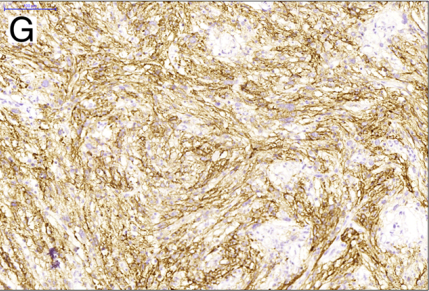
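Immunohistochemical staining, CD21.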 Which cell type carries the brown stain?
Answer: spindle cells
